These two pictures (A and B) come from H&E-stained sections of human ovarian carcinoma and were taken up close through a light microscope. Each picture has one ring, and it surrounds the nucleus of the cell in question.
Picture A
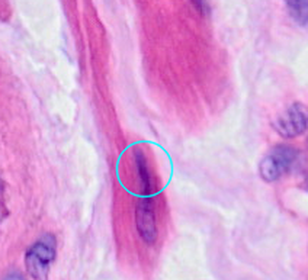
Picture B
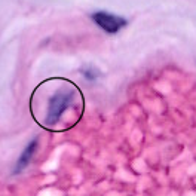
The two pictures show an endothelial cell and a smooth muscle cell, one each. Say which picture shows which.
A: smooth muscle cell
B: endothelial cell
